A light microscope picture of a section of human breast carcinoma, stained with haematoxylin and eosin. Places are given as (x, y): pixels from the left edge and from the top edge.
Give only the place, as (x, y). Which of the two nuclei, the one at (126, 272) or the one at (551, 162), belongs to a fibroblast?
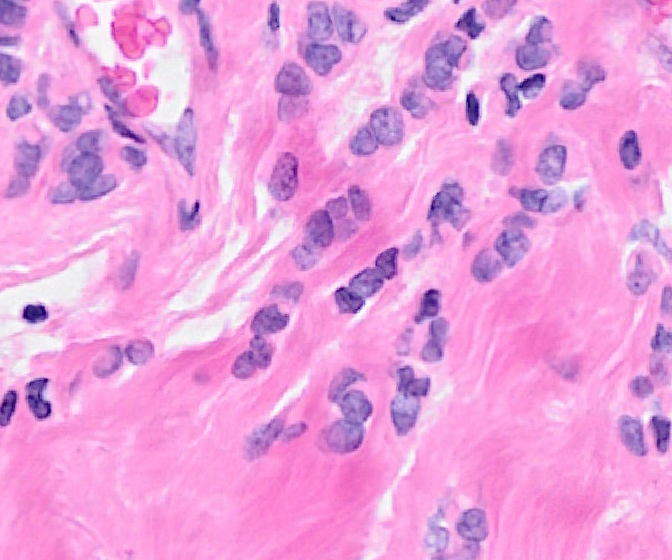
(126, 272)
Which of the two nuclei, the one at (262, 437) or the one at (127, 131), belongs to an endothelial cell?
(127, 131)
